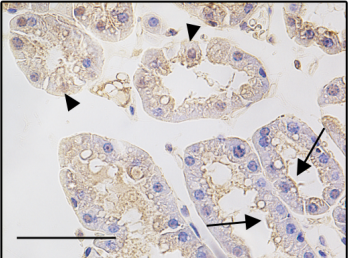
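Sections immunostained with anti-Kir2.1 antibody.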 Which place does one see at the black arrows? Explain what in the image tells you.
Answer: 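Apical membrane. Arrows point to epithelial cells at the border facing the alveolar lumen. Brown stain lies along the luminal edge of these cells.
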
